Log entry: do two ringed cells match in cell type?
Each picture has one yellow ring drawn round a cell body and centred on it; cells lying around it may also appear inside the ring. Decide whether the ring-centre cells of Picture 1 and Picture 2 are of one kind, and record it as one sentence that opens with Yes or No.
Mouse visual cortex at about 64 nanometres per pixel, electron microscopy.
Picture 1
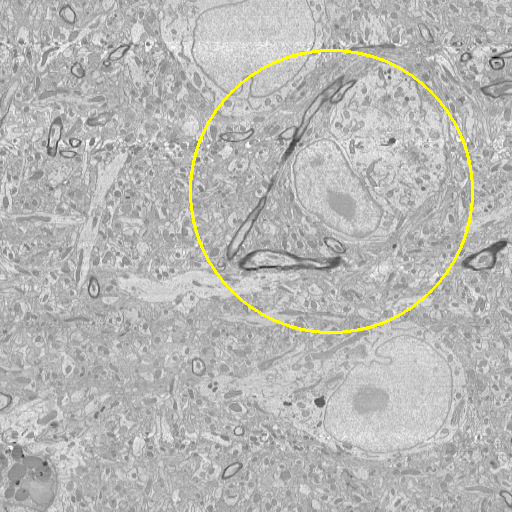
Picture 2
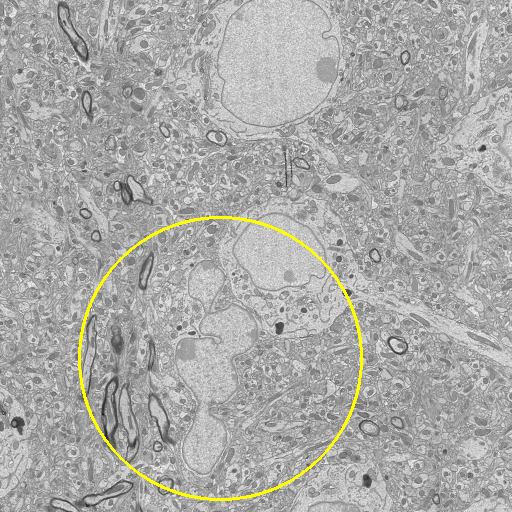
Yes, the cells at the ring centres of the two pictures belong to one kind.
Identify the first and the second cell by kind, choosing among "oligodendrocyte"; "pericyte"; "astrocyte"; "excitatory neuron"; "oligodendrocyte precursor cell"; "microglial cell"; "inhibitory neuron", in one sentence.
The cell at the ring centre is an oligodendrocyte precursor cell in both pictures.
